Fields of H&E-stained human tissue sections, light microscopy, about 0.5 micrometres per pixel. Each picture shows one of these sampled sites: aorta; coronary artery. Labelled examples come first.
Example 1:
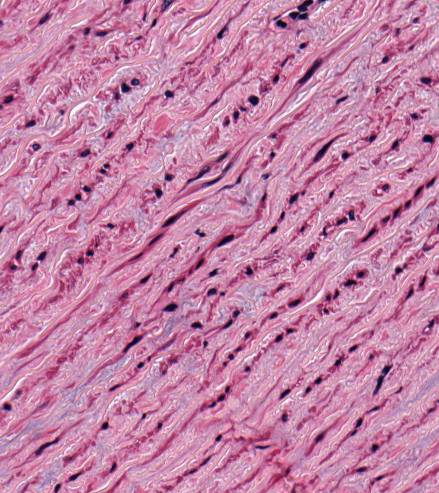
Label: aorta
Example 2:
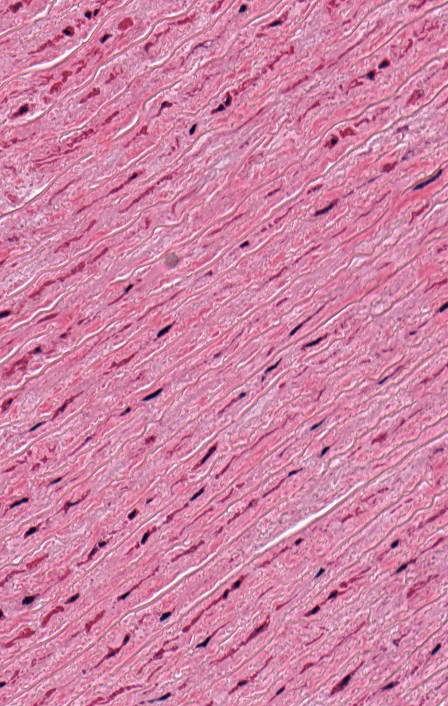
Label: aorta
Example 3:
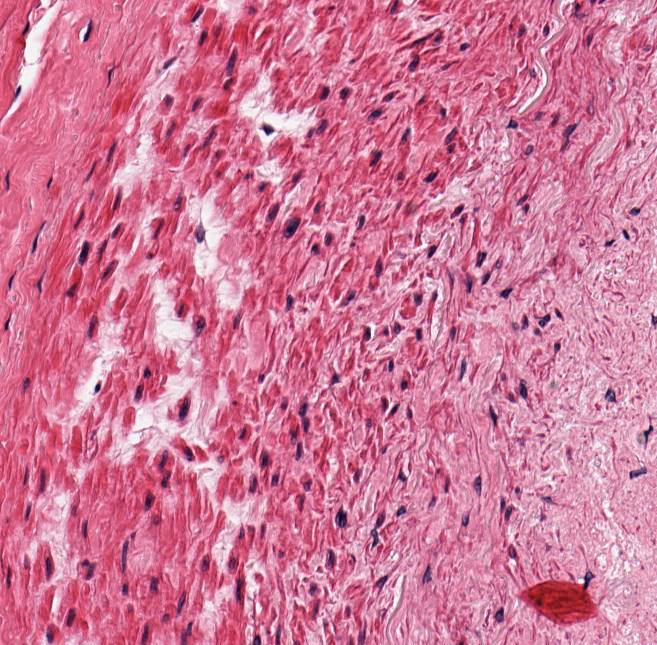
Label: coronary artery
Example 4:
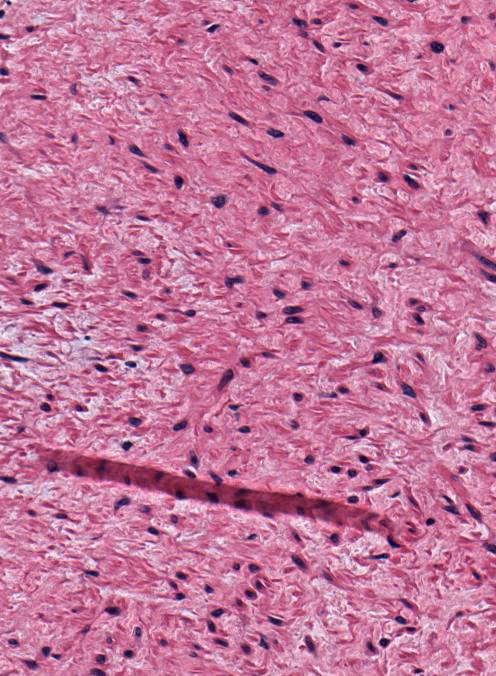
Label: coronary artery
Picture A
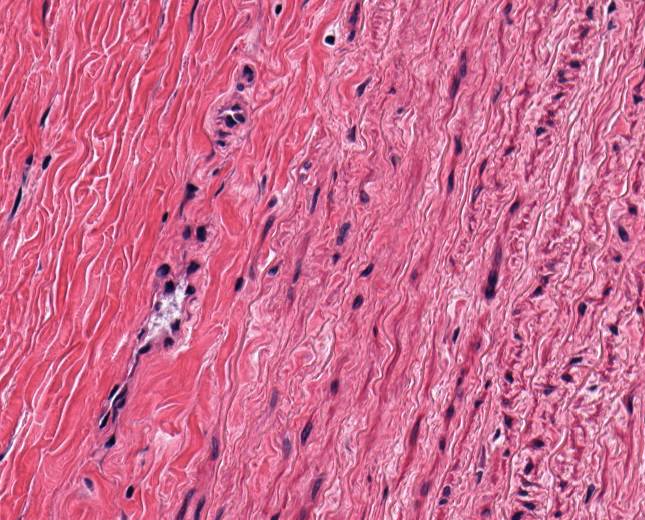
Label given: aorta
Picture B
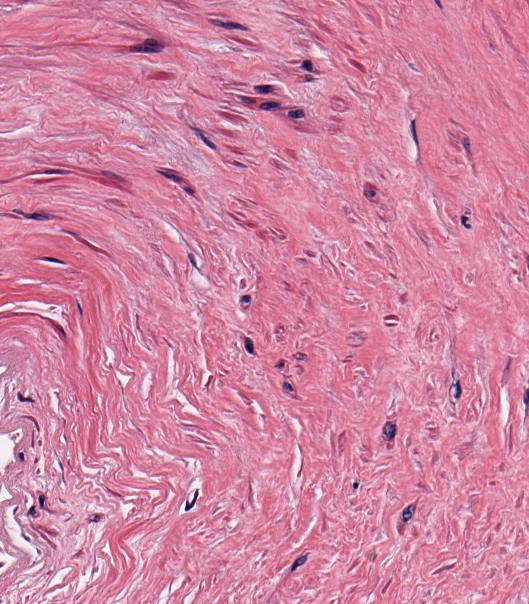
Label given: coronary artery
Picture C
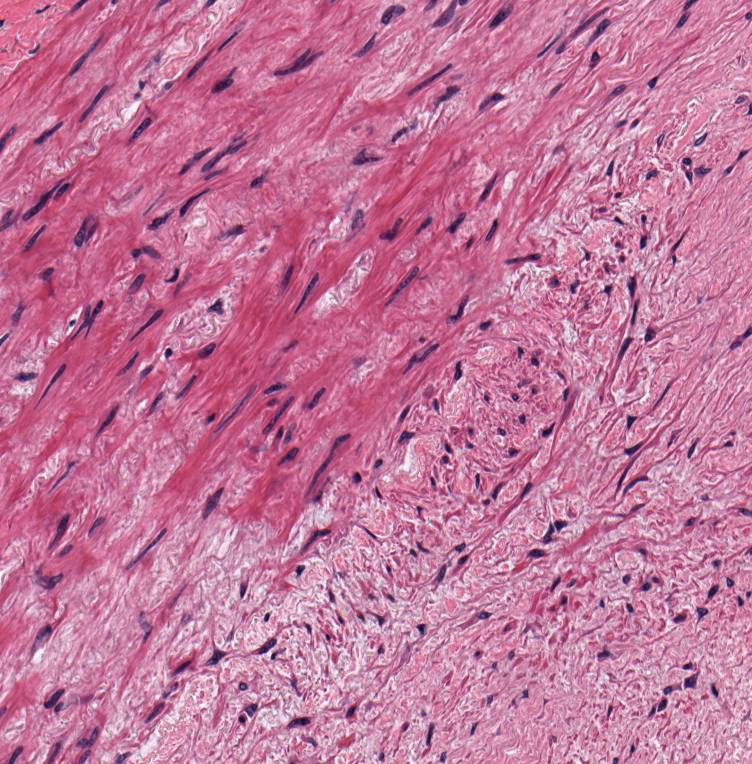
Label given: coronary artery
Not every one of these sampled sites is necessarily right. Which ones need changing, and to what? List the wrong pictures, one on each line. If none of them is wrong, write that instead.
None of the labels needs changing.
